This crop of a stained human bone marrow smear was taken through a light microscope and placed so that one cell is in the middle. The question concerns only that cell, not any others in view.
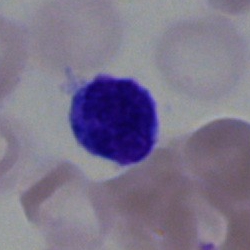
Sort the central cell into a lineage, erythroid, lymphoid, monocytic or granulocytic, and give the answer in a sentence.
The centered cell is one of the lymphoid lineage.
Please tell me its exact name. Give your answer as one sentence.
The cell shown in the center of this light-microscope crop is a lymphocyte.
